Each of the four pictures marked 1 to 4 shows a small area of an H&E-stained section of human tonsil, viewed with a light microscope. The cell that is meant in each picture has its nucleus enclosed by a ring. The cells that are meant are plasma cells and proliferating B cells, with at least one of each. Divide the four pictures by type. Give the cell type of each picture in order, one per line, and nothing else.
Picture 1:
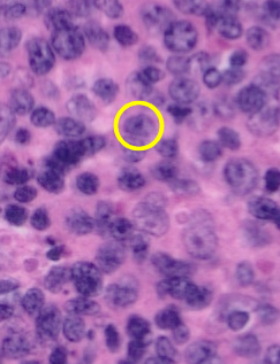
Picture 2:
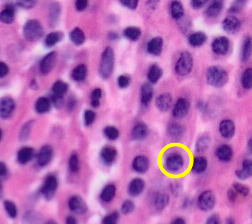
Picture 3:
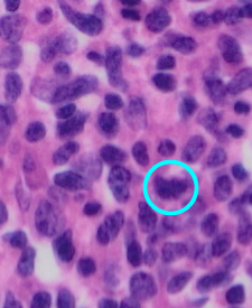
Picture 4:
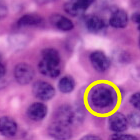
proliferating B cell
plasma cell
proliferating B cell
plasma cell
